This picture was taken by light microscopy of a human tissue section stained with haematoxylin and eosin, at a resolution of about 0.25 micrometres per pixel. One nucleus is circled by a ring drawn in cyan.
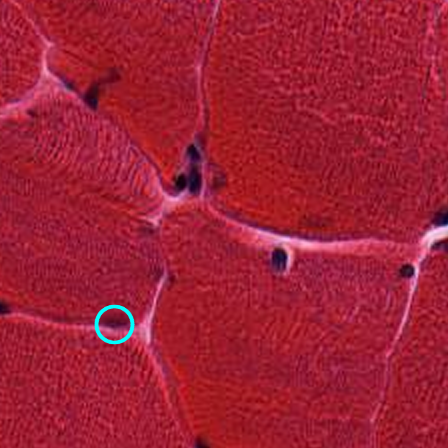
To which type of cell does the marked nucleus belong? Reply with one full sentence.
The cell bearing the marked nucleus is a skeletal muscle fibre.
